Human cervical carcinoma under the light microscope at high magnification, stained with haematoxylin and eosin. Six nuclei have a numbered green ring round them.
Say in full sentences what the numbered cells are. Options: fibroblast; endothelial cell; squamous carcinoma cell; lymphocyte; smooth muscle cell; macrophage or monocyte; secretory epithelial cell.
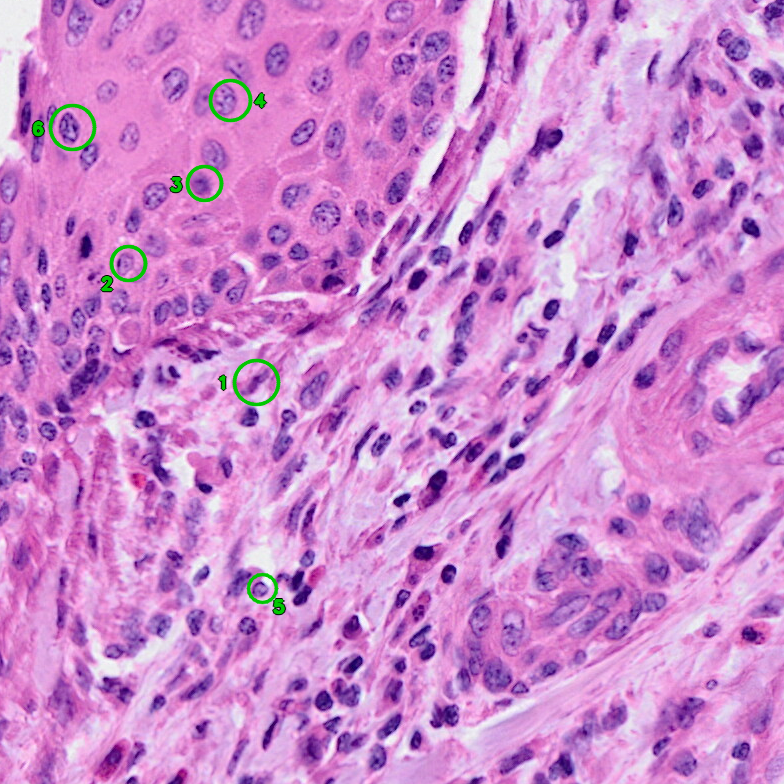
Cell 1 is a fibroblast. Cells 2, 3, 4 and 6 are squamous carcinoma cells. Cell 5 is a lymphocyte.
